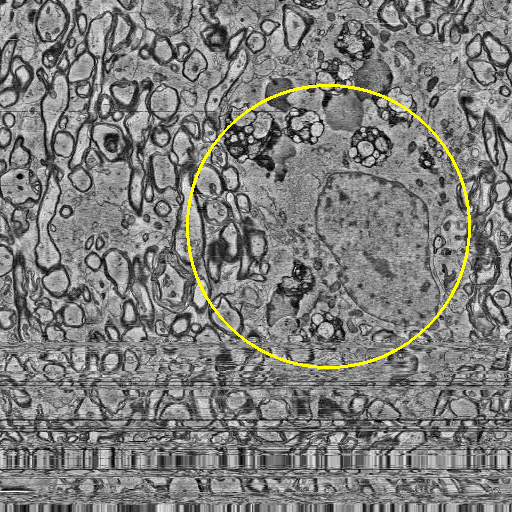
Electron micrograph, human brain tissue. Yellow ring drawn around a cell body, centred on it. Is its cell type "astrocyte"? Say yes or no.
yes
